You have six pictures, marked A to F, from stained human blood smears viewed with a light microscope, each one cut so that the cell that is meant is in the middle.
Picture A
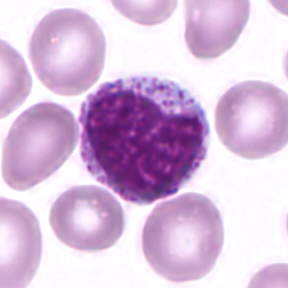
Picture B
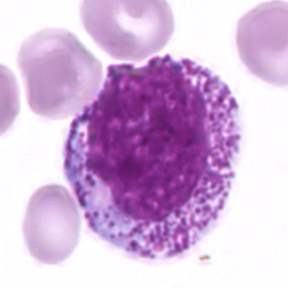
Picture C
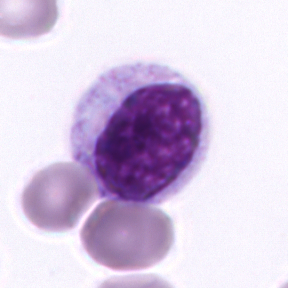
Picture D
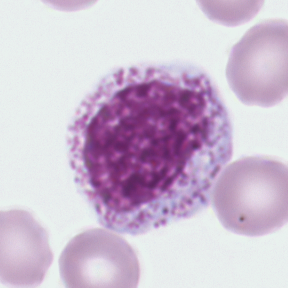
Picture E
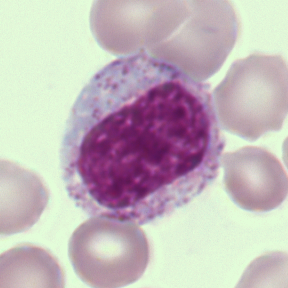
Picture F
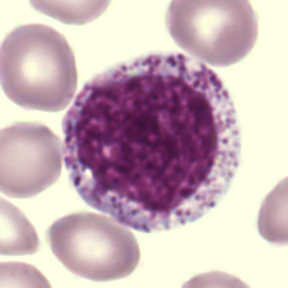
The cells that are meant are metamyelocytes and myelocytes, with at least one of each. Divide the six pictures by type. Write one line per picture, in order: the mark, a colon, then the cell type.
A: metamyelocyte
B: myelocyte
C: metamyelocyte
D: metamyelocyte
E: metamyelocyte
F: myelocyte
